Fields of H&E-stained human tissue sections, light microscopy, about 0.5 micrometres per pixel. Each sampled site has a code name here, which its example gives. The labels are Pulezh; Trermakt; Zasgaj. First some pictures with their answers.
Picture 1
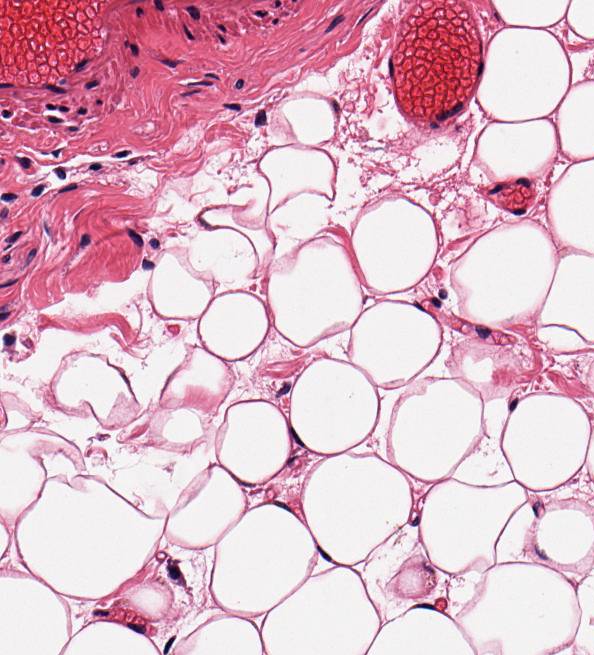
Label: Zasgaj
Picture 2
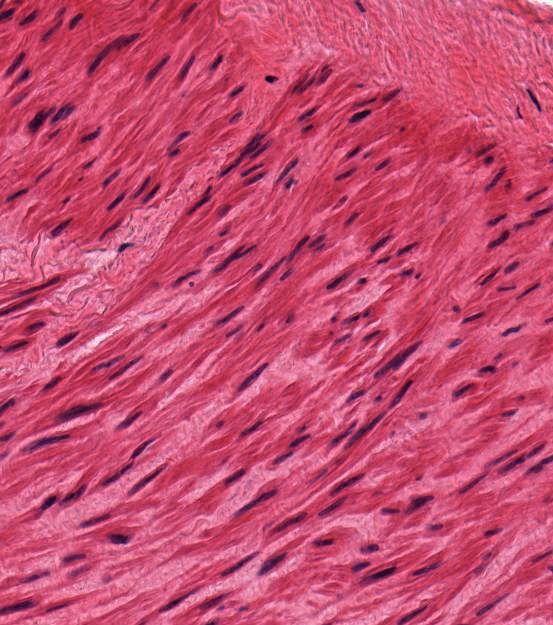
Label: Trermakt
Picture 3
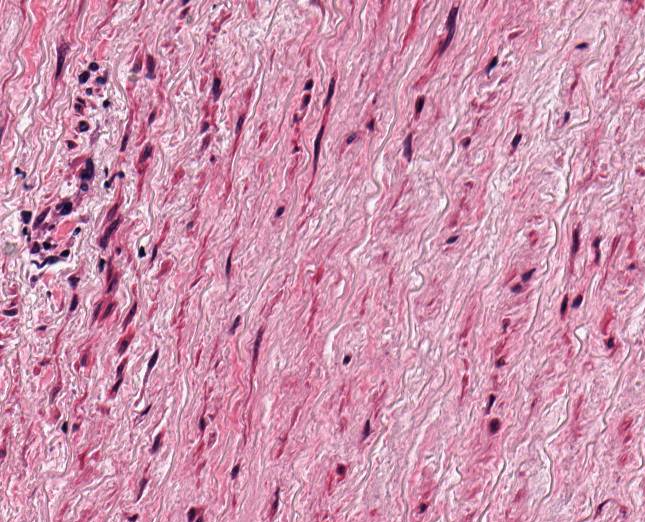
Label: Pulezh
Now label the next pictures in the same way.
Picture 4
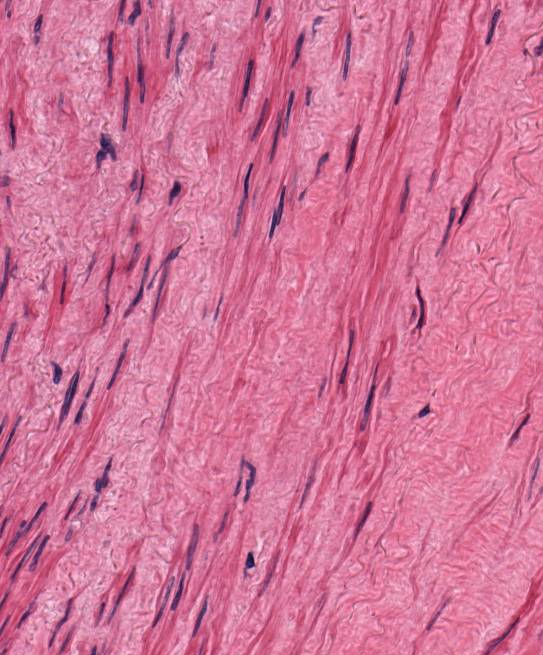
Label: Trermakt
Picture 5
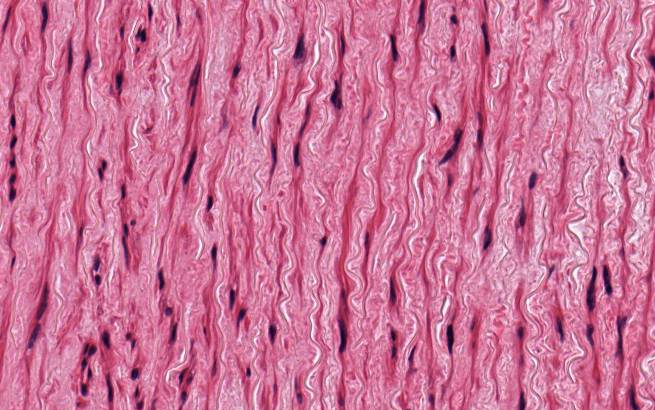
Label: Pulezh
